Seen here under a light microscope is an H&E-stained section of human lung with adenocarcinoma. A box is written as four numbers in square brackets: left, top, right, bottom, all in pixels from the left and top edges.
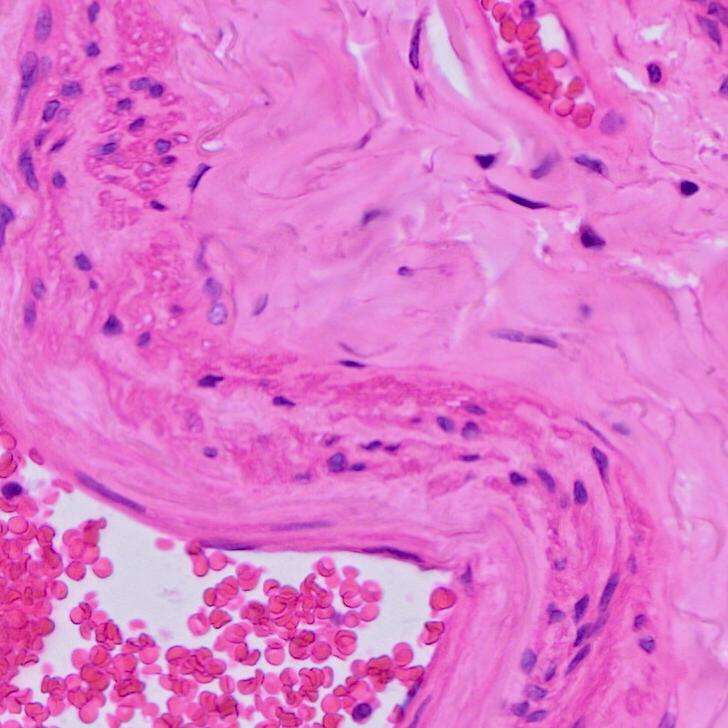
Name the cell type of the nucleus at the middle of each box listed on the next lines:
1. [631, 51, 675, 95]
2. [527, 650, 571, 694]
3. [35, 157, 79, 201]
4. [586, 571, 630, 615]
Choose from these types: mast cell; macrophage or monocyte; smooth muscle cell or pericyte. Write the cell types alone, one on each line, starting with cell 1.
mast cell
smooth muscle cell or pericyte
smooth muscle cell or pericyte
smooth muscle cell or pericyte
